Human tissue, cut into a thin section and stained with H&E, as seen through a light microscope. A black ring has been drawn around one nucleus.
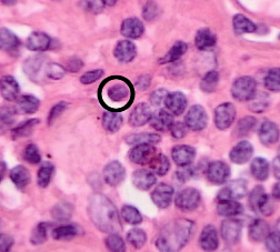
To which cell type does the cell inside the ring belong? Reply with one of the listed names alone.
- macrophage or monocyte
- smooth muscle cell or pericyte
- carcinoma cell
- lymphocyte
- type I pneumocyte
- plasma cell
lymphocyte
